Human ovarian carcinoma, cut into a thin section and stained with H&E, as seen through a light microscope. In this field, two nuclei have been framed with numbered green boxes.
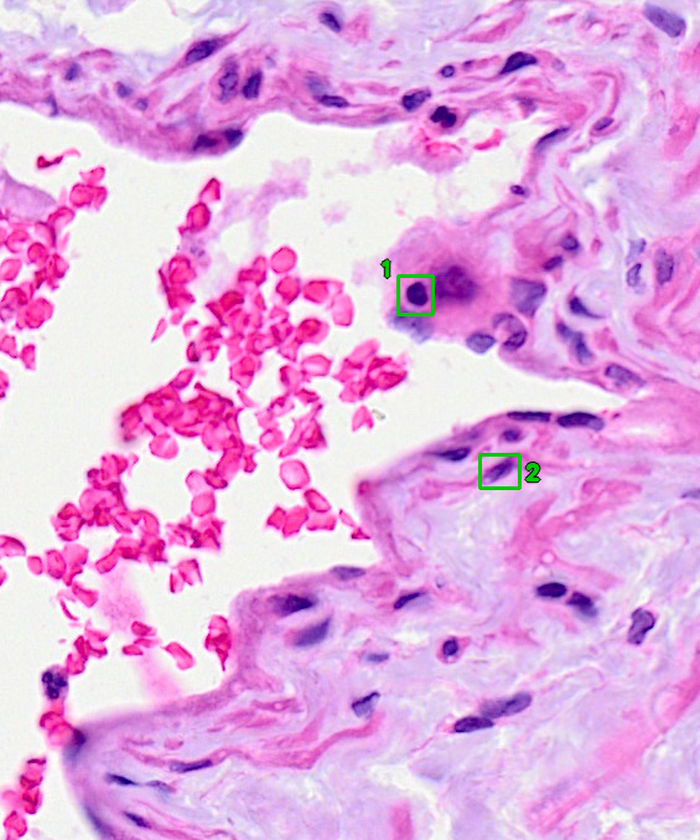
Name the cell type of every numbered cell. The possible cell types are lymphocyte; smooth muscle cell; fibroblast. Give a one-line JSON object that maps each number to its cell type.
{"1": "lymphocyte", "2": "smooth muscle cell"}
